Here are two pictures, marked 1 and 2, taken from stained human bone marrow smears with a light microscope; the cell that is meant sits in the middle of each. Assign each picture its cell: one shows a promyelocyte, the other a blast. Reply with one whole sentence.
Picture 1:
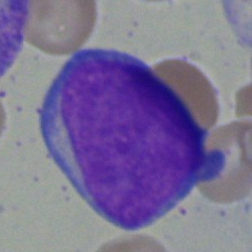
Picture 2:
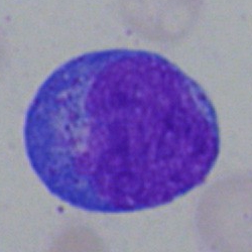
Picture 1 is of a blast, and picture 2 is of a promyelocyte.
